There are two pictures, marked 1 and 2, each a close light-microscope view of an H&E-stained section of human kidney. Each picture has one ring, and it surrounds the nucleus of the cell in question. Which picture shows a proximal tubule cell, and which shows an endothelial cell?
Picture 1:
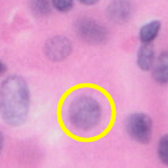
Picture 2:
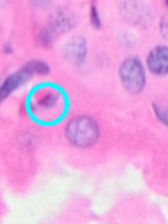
1: proximal tubule cell
2: endothelial cell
